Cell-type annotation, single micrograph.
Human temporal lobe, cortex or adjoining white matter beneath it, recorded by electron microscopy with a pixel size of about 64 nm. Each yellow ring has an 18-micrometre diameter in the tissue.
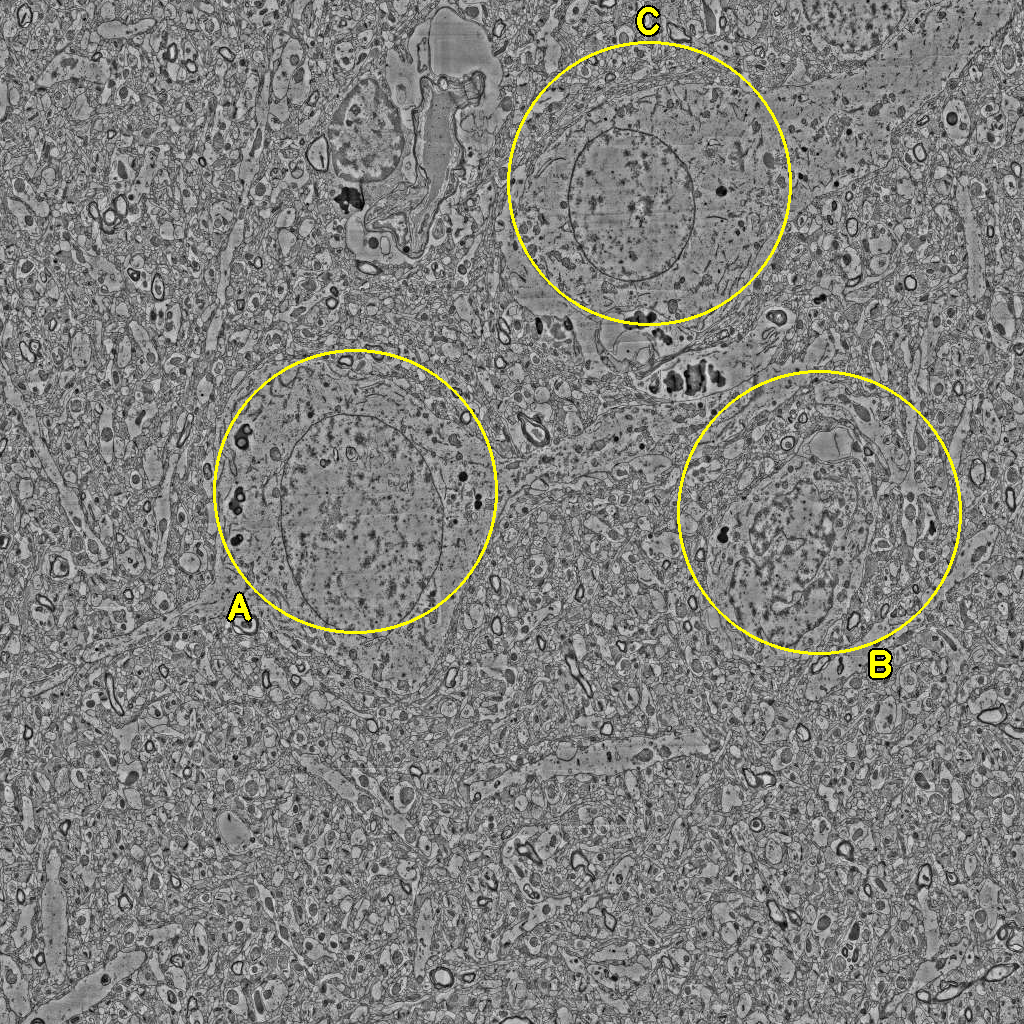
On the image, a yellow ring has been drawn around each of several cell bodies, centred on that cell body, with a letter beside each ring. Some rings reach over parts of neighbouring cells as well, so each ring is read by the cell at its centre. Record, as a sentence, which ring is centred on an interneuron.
Ring B is centred on it.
